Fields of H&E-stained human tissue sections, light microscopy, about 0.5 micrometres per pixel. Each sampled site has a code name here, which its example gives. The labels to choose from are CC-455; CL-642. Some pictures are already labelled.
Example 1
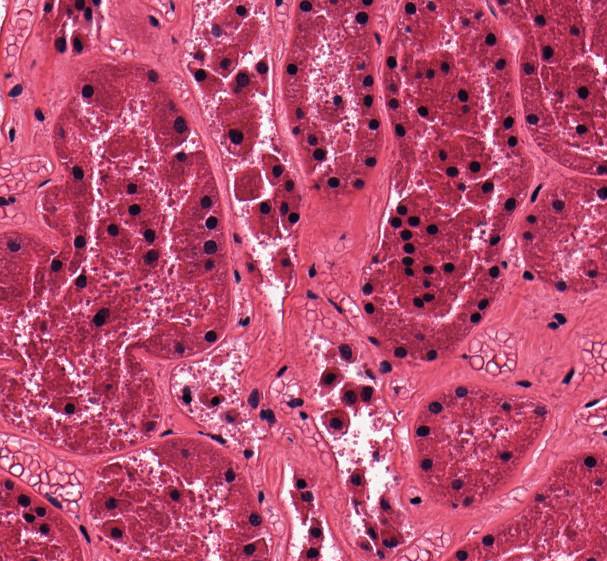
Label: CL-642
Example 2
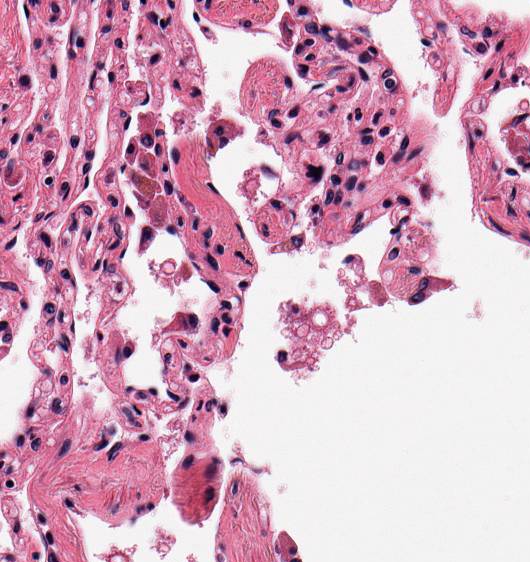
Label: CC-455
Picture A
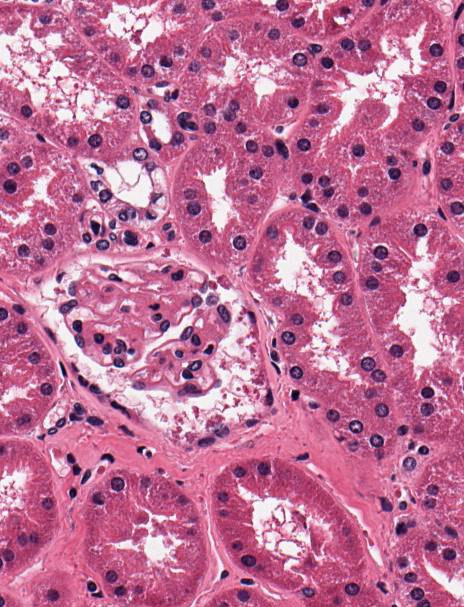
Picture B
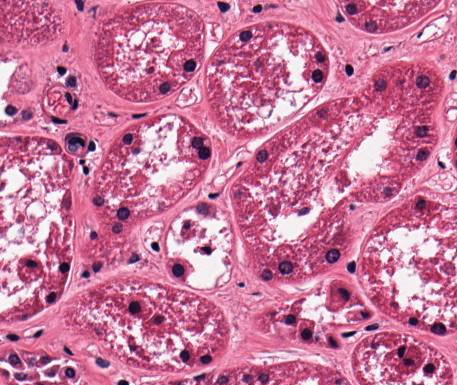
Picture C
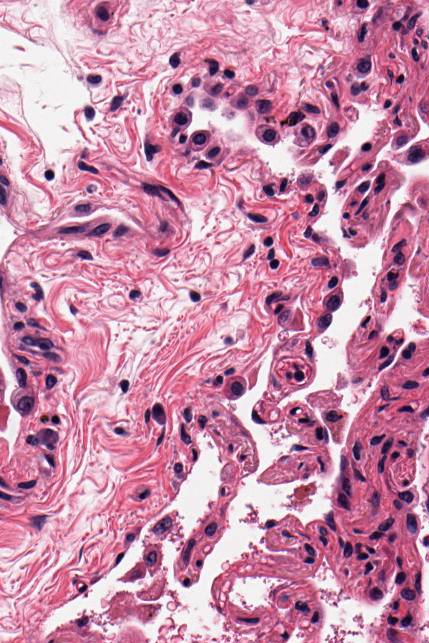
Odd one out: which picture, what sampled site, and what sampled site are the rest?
C: CC-455; all the others: CL-642.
